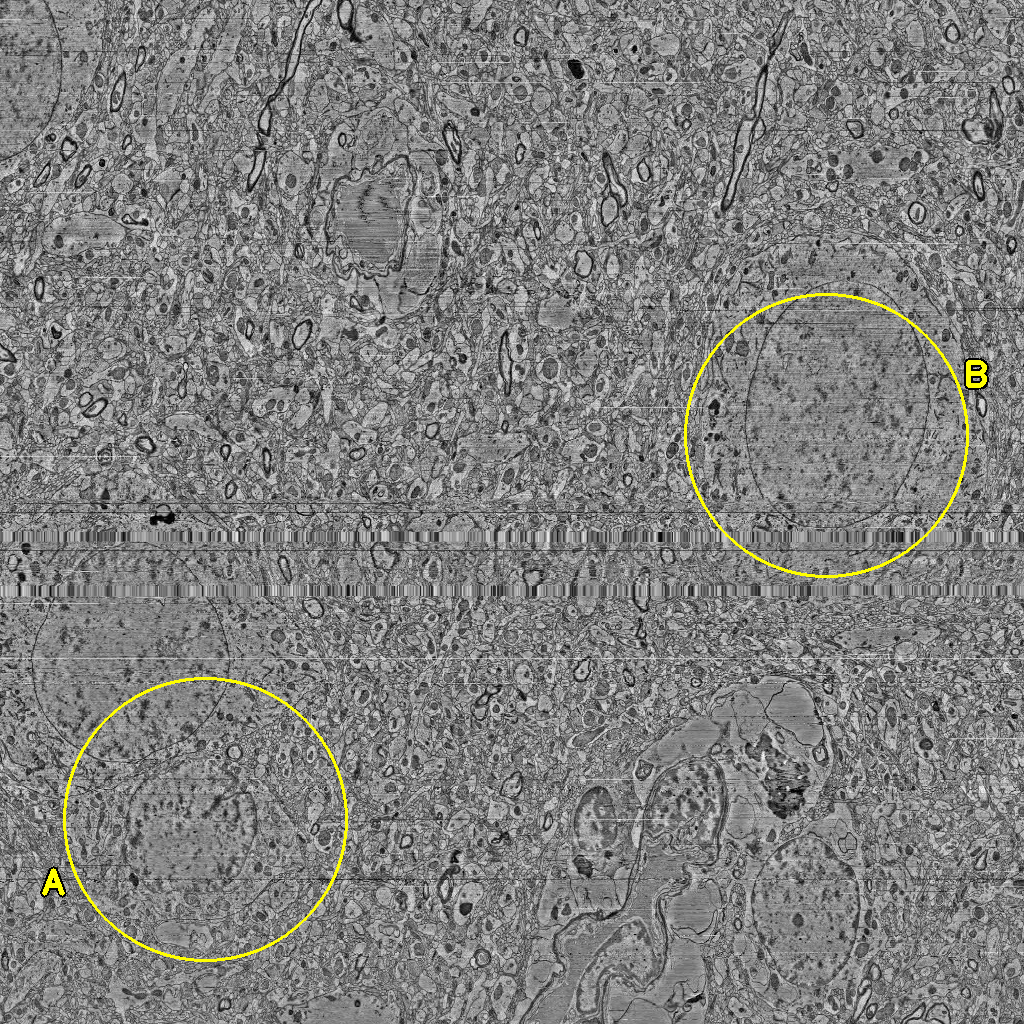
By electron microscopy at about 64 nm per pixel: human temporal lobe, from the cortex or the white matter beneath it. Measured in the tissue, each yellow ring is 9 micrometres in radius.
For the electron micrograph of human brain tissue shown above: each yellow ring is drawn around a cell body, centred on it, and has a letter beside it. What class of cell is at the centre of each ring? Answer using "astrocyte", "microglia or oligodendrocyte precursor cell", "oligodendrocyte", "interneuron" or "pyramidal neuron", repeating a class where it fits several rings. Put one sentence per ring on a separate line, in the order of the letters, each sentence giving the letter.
At ring A, the central cell is an interneuron.
At ring B, the central cell is a pyramidal neuron.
